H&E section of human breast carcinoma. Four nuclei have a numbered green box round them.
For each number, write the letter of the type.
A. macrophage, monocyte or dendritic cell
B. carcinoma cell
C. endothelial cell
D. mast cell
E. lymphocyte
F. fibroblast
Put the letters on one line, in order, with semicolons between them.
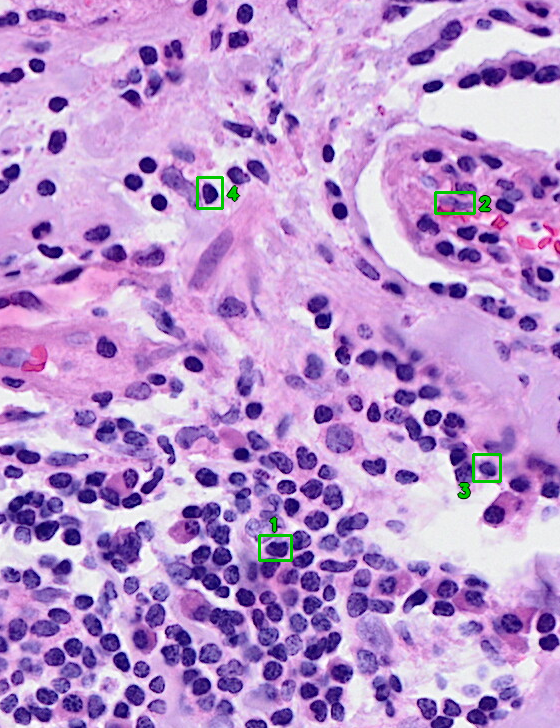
E; C; E; E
